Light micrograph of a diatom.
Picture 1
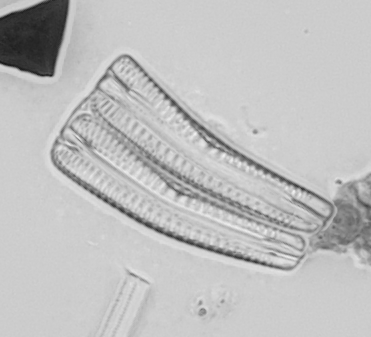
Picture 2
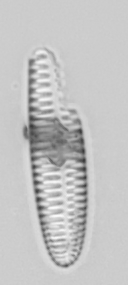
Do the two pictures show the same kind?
Yes, both are Rhoicosphenia.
